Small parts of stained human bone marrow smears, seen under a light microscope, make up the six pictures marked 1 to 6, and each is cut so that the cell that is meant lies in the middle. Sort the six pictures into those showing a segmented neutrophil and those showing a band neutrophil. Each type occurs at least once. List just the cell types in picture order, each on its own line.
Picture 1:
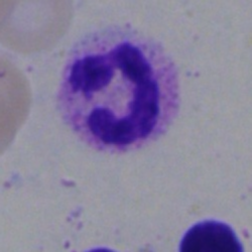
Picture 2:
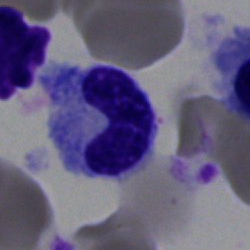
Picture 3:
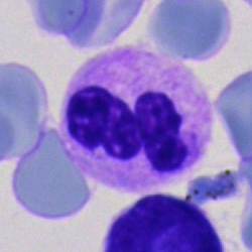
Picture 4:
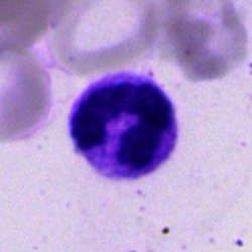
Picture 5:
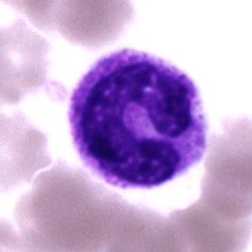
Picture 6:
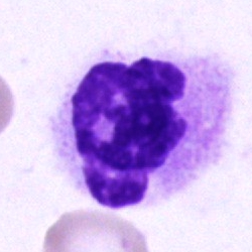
segmented neutrophil
band neutrophil
segmented neutrophil
segmented neutrophil
band neutrophil
segmented neutrophil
